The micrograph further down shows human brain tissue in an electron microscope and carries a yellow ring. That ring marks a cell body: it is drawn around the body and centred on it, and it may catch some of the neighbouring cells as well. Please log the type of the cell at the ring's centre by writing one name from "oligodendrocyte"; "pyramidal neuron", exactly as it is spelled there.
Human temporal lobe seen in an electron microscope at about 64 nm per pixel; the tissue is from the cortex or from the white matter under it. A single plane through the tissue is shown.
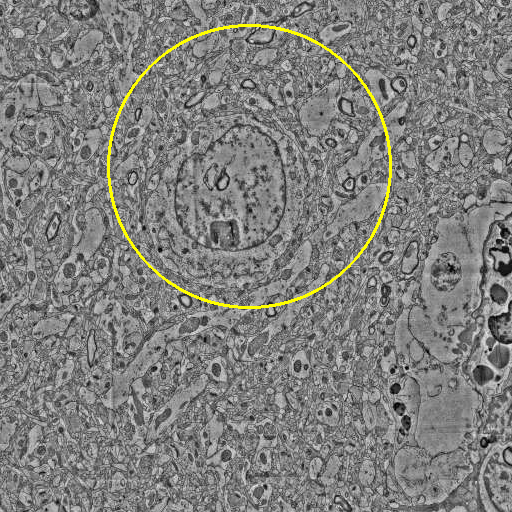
pyramidal neuron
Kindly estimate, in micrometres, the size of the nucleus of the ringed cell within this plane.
The nucleus is about 8 micrometres across in this plane.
